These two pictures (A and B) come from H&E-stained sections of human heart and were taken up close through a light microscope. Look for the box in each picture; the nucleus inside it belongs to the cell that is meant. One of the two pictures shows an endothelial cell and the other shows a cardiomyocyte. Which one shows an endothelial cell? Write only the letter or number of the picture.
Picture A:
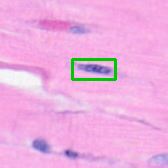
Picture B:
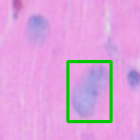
A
